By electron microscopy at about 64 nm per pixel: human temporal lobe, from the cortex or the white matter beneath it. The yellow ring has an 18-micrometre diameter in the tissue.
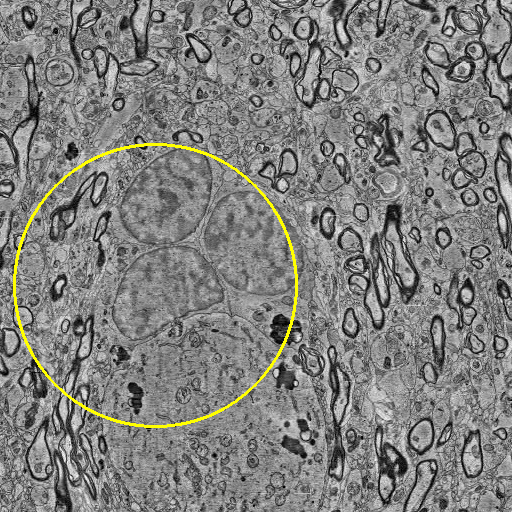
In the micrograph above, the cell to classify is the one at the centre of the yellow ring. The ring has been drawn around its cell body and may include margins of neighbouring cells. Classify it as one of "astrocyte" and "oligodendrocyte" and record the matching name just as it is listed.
oligodendrocyte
